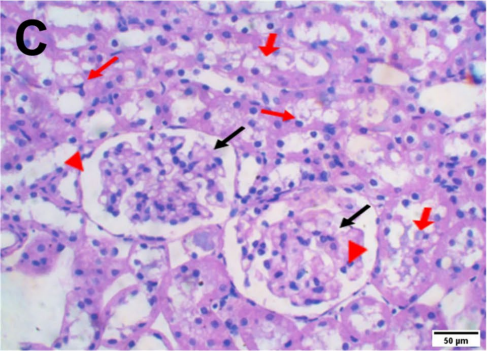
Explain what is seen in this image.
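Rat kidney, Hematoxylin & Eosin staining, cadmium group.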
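Renal cortex with two glomeruli and surrounding tubules showing injury. Each glomerulus is a round tuft of capillary loops crowded with blue nuclei, set within a clear space bounded by a thin capsule. The surrounding tubules are lined by cuboidal cells whose pink cytoplasm is broken up by many clear, empty vacuoles, giving much of the tubular epithelium a pale, foamy appearance. Some tubules look disrupted, with pale debris in their lumens and cell borders hard to follow. Nuclei of tubular cells are round and blue, some scattered irregularly. Compared with normal cortex, the orderly, evenly pink tubular lining is lost.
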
